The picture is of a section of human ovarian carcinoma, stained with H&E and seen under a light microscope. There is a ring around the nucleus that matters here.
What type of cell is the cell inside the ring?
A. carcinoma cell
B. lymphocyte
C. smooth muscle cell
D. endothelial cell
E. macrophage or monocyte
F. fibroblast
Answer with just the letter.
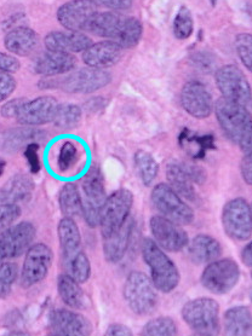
B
